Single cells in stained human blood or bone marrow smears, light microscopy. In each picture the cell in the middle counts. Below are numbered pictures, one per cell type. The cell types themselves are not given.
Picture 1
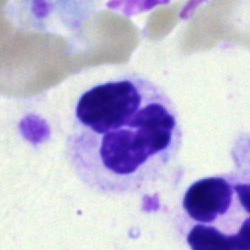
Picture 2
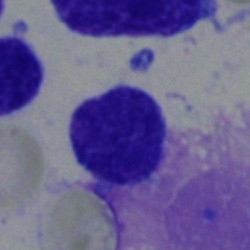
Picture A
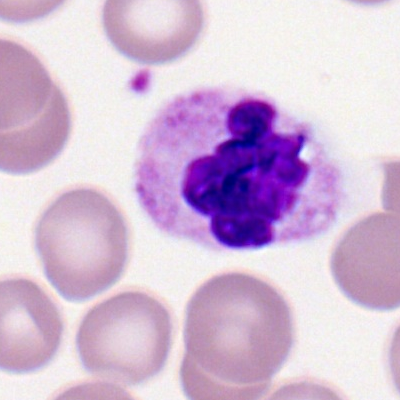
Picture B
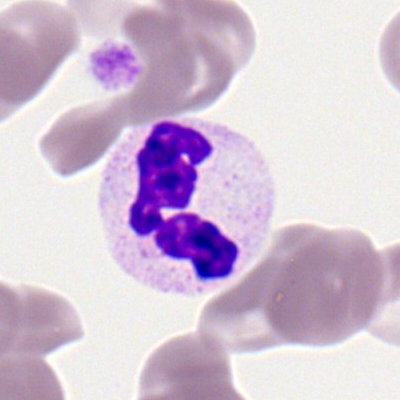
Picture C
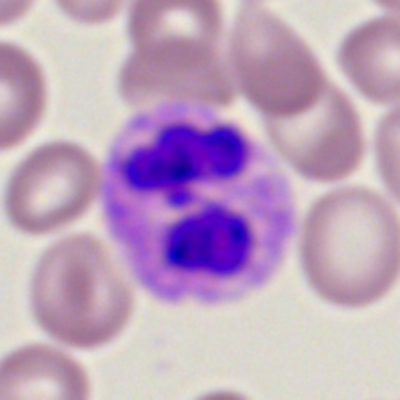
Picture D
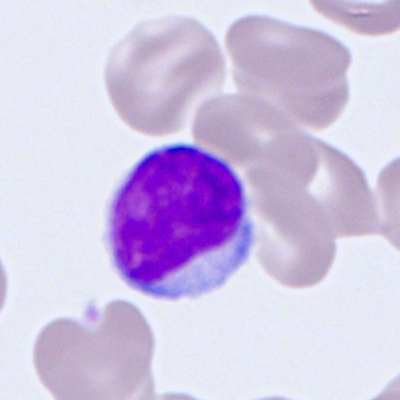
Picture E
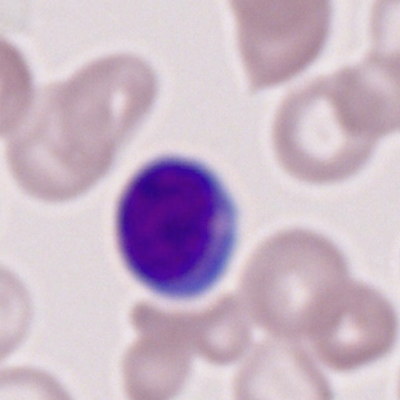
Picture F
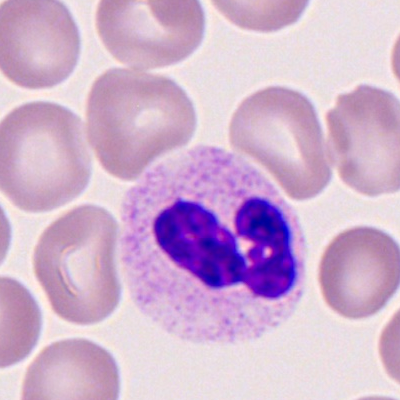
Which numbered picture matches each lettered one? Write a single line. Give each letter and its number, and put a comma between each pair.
A 1, B 1, C 1, D 2, E 2, F 1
